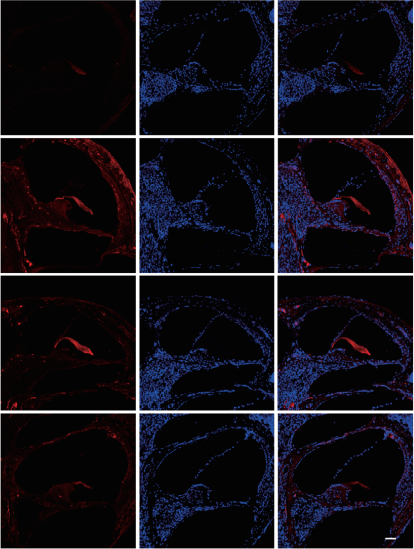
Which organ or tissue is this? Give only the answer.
Cochleae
